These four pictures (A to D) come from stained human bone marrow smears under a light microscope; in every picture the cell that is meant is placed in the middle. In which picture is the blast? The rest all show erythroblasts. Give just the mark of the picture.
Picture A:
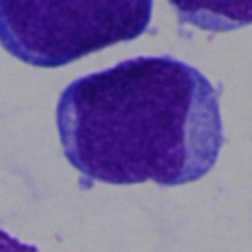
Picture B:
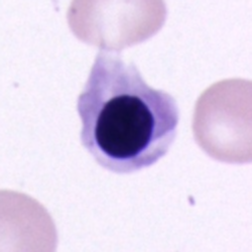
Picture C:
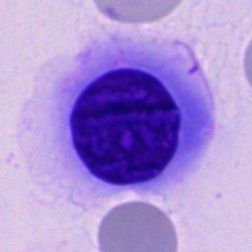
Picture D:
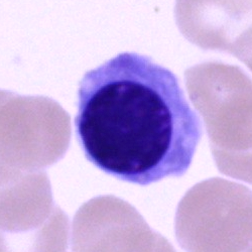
A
